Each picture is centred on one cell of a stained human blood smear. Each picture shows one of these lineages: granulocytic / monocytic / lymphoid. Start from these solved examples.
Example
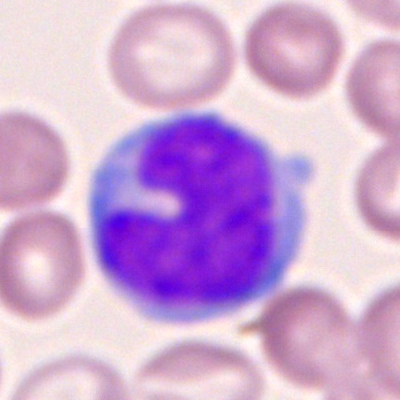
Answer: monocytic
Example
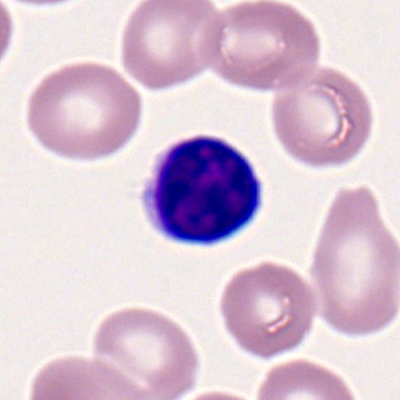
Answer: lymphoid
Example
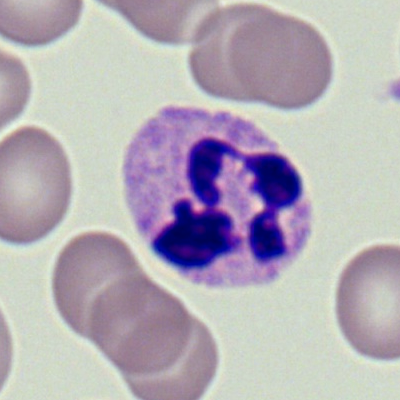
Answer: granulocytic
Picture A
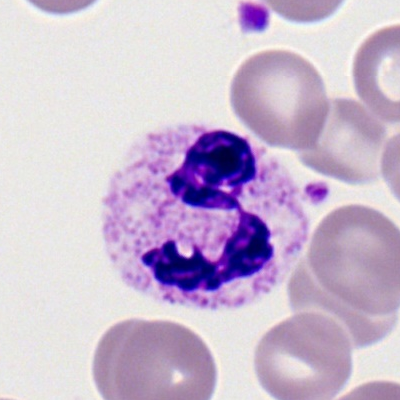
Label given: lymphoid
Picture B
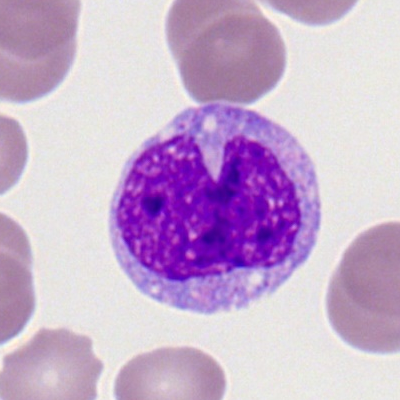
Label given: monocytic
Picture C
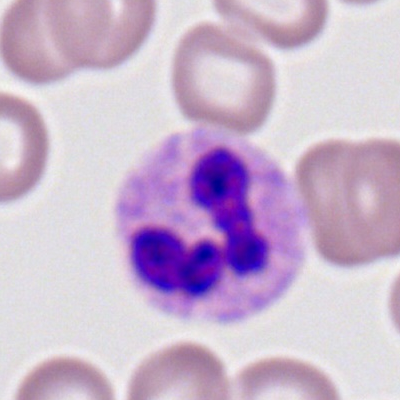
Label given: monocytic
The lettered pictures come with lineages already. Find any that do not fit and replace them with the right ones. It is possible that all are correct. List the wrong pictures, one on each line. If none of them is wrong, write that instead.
A: not lymphoid but granulocytic
C: not monocytic but granulocytic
